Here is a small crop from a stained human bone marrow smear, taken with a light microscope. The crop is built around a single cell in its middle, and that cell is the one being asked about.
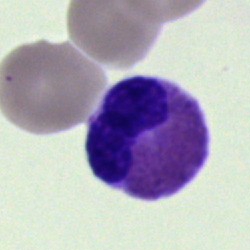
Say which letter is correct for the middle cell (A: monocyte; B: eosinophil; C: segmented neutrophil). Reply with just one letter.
B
